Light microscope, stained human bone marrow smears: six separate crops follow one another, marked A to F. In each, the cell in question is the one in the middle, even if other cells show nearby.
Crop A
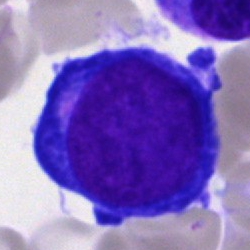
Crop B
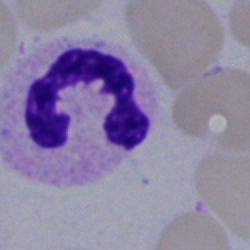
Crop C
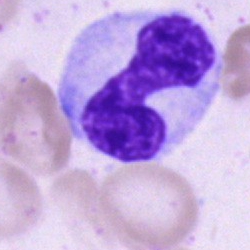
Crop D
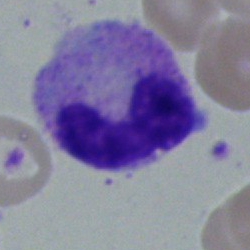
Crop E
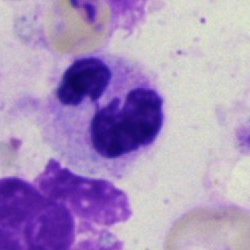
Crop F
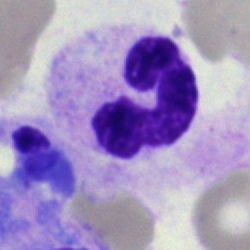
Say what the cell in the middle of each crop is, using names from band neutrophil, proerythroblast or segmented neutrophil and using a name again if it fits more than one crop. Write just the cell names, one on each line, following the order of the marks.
proerythroblast
segmented neutrophil
band neutrophil
band neutrophil
segmented neutrophil
band neutrophil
